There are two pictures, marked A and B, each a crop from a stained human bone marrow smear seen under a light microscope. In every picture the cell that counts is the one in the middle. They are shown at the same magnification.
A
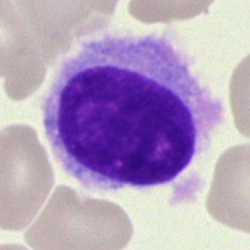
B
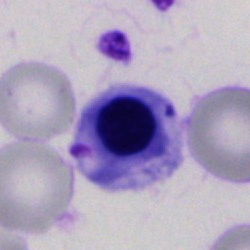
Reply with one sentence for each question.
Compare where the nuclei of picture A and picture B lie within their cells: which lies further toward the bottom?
It is the nucleus in picture A that lies further toward the bottom of its cell.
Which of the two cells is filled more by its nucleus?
The nucleus fills more of the cell in picture A than in picture B.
